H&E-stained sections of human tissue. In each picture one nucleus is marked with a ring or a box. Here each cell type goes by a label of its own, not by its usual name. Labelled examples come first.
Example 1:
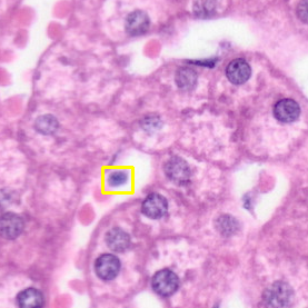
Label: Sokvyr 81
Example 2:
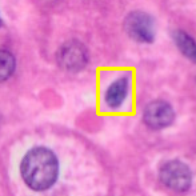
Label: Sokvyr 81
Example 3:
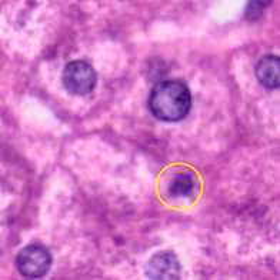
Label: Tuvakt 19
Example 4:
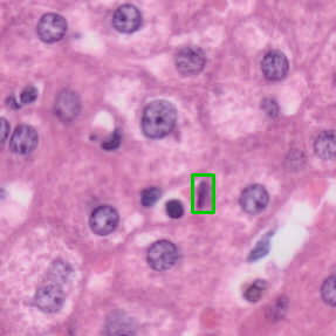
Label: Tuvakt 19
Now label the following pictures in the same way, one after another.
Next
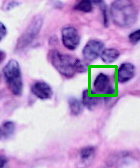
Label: Sokvyr 81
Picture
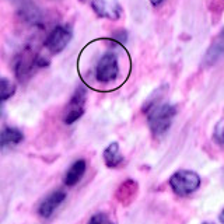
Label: Sokvyr 81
